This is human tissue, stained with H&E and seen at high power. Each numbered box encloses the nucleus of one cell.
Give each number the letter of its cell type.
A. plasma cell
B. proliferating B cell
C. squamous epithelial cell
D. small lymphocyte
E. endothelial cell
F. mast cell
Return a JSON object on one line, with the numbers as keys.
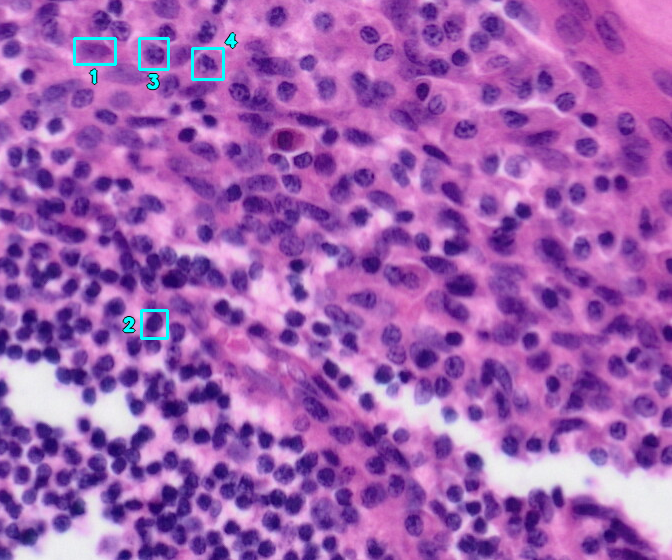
{"1": "C", "2": "D", "3": "A", "4": "A"}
